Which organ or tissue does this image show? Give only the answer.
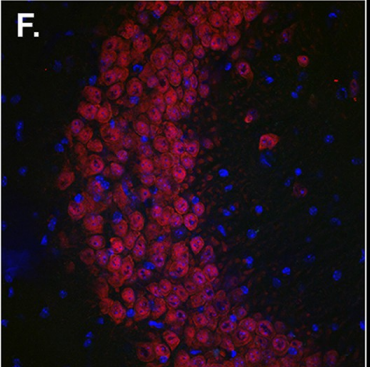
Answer: stratum pyramidale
